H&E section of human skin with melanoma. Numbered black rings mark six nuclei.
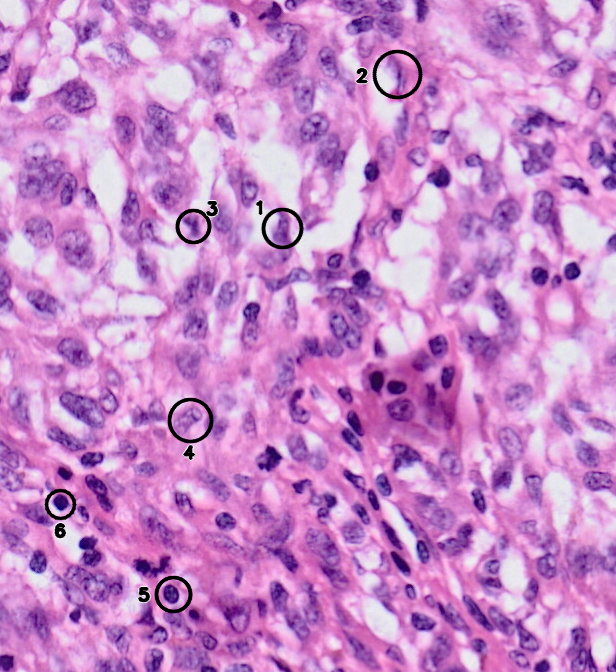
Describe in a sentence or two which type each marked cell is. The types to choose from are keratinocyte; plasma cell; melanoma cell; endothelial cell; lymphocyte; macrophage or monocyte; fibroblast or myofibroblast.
Cells 1, 3 and 4 are melanoma cells. Cell 2 is an endothelial cell. Cells 5 and 6 are lymphocytes.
